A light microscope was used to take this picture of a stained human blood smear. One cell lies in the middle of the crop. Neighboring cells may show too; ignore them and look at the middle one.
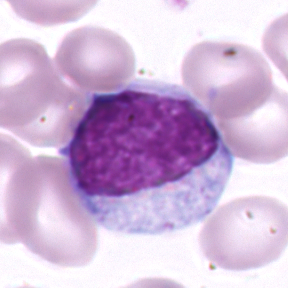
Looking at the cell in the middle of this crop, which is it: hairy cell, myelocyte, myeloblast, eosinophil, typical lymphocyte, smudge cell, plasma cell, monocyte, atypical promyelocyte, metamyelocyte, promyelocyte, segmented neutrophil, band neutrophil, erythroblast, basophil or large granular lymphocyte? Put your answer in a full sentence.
The centrally located cell in the crop is a myelocyte.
